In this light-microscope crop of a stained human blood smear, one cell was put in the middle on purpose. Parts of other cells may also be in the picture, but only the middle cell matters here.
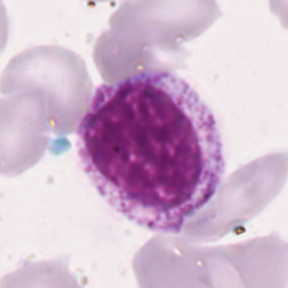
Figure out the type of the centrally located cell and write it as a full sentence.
Here the cell in the middle is a myelocyte.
